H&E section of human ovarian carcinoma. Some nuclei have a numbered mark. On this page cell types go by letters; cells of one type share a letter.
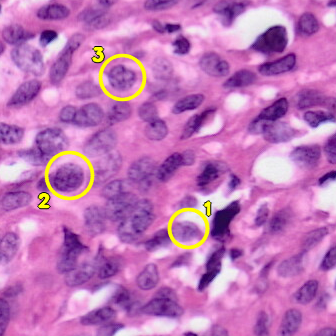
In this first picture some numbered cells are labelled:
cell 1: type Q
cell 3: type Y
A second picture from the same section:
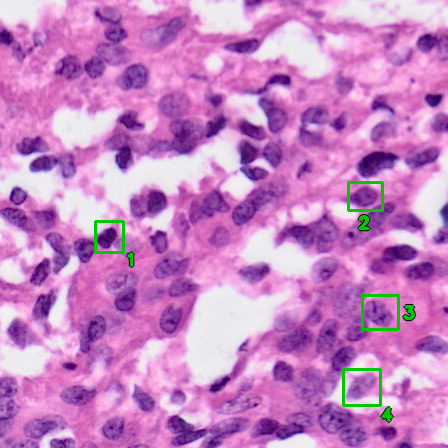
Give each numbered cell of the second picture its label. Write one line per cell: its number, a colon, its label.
1: type Q
2: type Q
3: type Y
4: type Q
